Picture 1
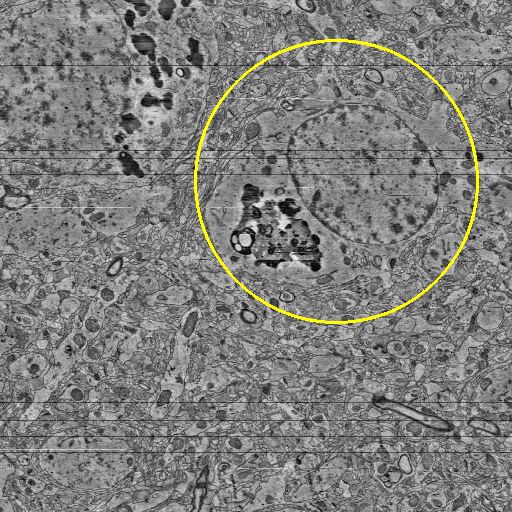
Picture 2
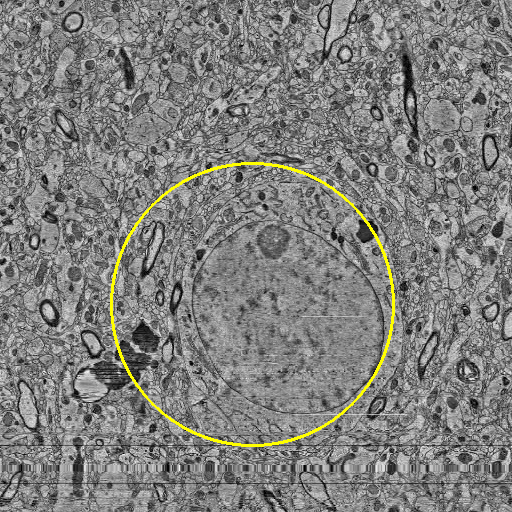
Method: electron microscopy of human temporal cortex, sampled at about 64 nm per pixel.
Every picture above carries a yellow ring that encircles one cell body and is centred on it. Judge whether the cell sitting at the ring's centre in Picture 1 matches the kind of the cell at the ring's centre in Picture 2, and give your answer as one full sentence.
No, the cells centred in the rings of Pictures 1 and 2 belong to two kinds.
